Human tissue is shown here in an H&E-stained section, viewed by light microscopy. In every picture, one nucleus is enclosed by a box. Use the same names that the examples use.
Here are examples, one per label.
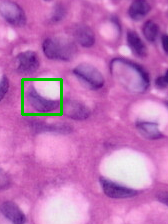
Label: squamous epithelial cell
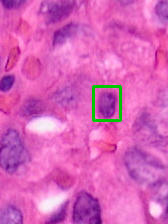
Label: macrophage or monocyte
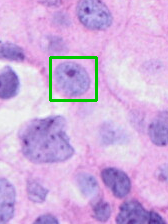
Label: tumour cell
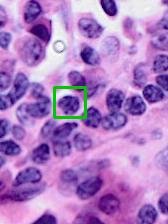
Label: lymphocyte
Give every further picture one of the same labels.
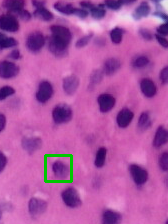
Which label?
squamous epithelial cell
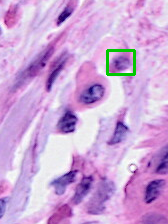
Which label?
macrophage or monocyte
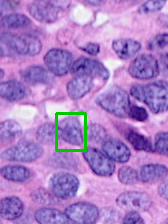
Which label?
tumour cell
